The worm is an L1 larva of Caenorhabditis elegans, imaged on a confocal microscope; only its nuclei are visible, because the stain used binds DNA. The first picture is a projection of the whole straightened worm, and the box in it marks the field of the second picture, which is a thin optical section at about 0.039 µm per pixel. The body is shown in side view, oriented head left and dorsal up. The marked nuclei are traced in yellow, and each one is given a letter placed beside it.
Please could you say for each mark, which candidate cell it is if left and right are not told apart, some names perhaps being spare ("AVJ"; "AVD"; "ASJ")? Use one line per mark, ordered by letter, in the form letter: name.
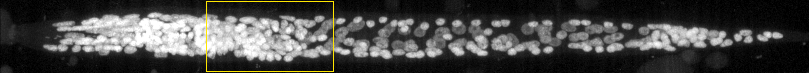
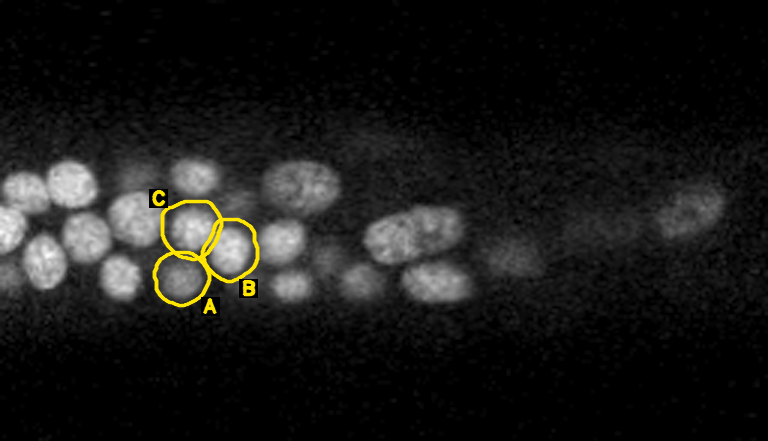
A: ASJ
B: AVD
C: AVJ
